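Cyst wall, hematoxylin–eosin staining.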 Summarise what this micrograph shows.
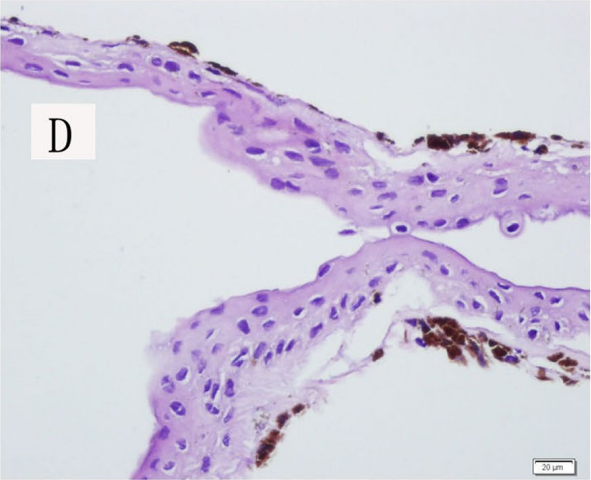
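Two thin, folded sheets of tissue run across the field, each made of several layers of cells with pale pink cytoplasm and oval to flattened purple nuclei. No pink acellular keratin layer lies on top of the cells, and the outermost cells still carry nuclei. Clumps of dark brown pigment granules sit along the edges of the sheets.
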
